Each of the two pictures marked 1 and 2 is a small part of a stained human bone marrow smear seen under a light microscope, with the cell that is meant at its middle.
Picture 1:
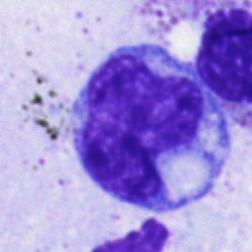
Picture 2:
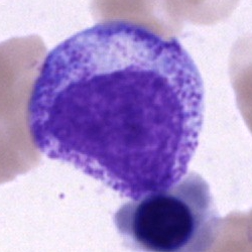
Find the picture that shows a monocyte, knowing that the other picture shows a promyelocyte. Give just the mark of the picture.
1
